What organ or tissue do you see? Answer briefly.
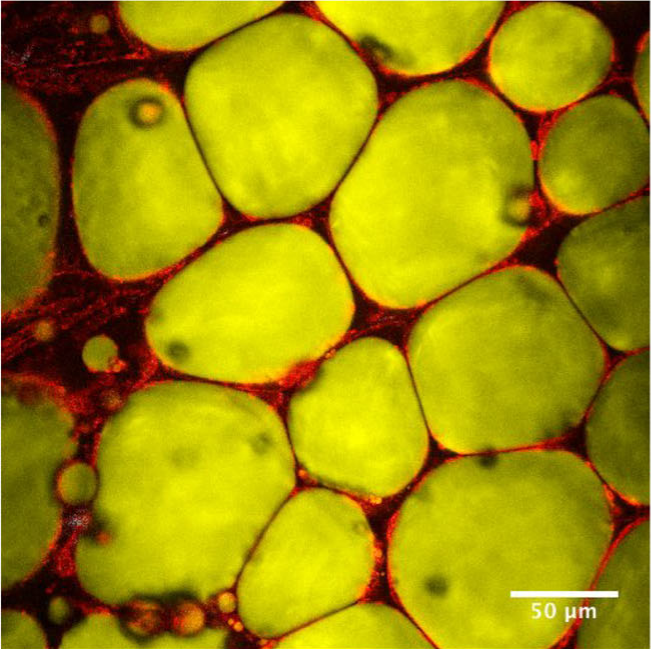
white adipose tissue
